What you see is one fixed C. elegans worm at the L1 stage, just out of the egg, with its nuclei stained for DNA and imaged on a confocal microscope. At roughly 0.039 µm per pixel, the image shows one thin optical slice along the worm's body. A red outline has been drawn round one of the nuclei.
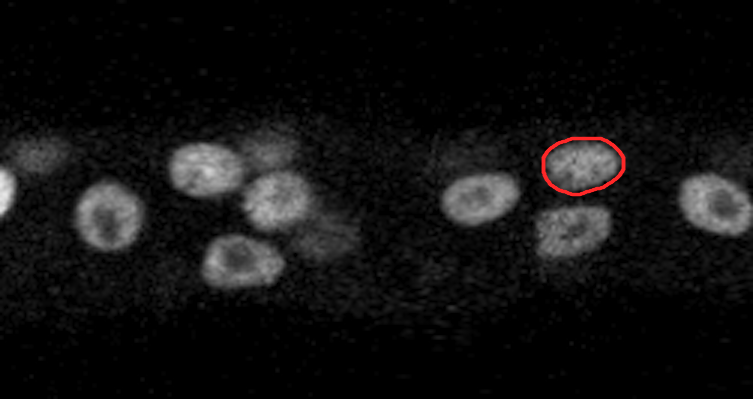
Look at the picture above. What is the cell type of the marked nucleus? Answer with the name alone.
P cell (ventral epidermal blast cell)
